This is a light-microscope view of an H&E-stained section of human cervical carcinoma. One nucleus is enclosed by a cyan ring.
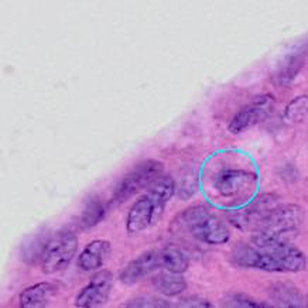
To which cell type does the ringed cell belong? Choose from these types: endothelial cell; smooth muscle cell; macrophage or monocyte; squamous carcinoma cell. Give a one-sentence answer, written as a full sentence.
At the level of cell identity, the ringed cell is a squamous carcinoma cell.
